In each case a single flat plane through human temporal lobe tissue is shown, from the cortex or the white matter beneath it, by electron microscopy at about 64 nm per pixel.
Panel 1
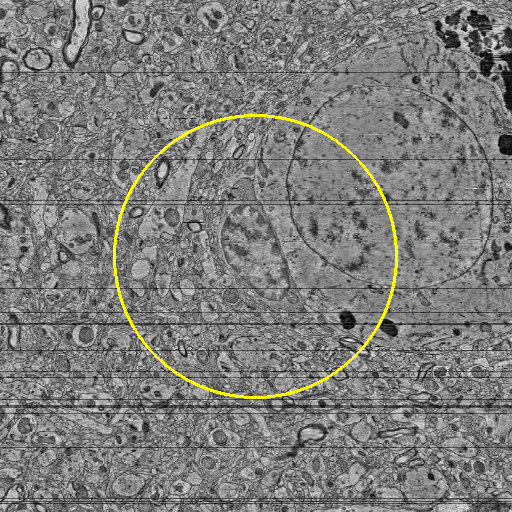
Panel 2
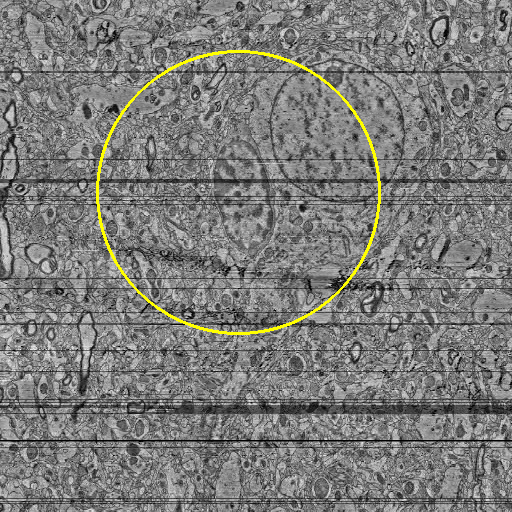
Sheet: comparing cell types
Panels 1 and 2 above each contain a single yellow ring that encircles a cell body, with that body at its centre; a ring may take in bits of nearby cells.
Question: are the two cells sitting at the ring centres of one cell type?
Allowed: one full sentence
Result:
Yes, the ring-centre cells in Panel 1 and Panel 2 are of one type.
